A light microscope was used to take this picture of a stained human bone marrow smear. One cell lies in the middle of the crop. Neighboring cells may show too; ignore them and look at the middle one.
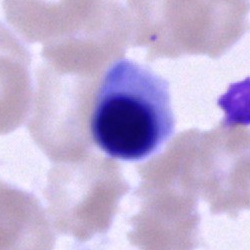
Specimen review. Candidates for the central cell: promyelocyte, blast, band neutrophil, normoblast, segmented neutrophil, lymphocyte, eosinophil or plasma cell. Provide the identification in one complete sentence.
Looking at the middle of the crop, the cell there is a normoblast.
